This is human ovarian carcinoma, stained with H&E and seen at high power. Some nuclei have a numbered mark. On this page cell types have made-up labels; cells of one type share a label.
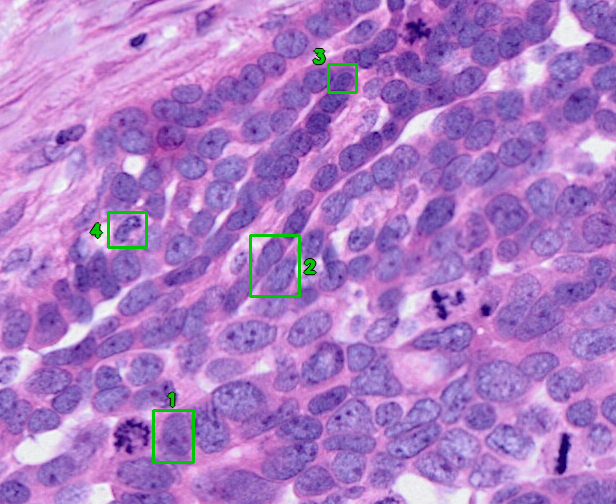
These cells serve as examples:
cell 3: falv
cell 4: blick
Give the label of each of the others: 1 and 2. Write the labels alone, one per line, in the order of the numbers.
falv
falv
